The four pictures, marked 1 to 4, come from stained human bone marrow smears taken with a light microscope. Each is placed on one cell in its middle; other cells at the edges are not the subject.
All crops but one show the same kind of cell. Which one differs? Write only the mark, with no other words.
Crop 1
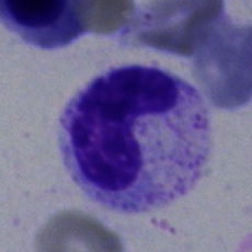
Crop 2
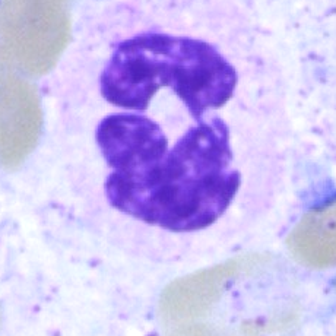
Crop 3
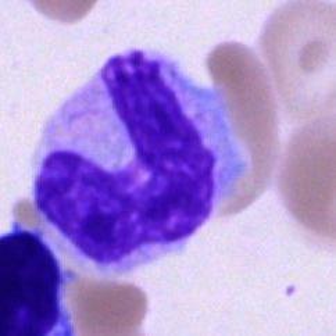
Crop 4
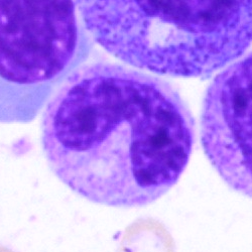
2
